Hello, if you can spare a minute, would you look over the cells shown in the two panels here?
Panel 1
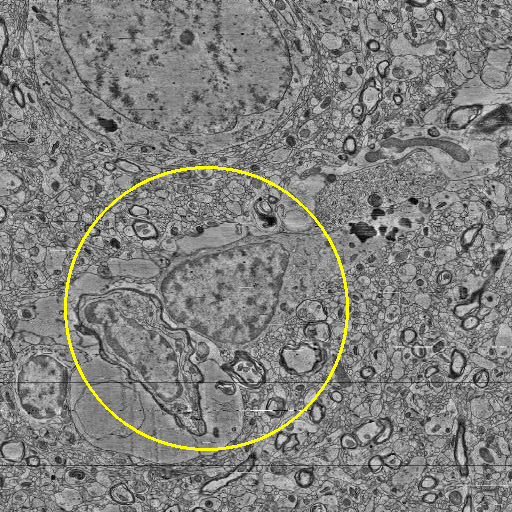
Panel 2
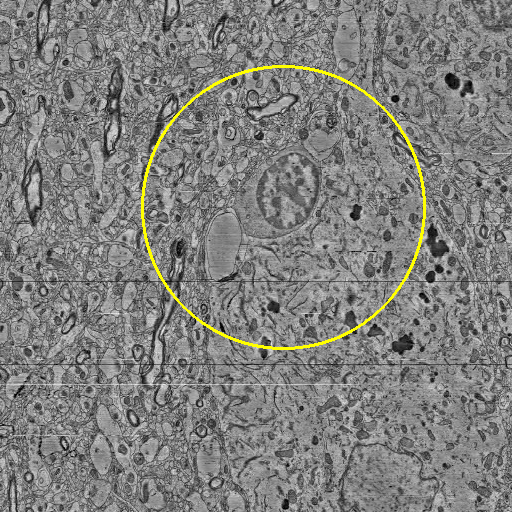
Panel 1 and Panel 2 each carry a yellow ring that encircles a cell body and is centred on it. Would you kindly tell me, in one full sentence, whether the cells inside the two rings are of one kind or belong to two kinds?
The cells at the centres of the rings in Panel 1 and Panel 2 are of one kind.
